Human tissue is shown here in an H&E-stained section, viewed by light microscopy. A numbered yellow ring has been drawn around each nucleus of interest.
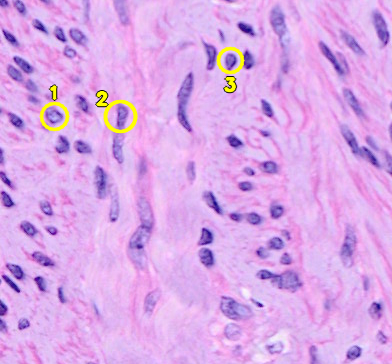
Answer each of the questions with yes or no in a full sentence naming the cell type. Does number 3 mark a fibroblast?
Yes, correct, the cell with the number 3 is a fibroblast.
